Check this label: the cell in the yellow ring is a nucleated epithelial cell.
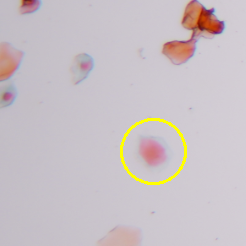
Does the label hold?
The label holds; the cell is a nucleated epithelial cell.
